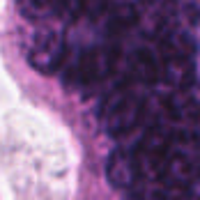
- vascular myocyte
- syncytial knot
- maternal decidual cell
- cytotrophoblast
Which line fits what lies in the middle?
syncytial knot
